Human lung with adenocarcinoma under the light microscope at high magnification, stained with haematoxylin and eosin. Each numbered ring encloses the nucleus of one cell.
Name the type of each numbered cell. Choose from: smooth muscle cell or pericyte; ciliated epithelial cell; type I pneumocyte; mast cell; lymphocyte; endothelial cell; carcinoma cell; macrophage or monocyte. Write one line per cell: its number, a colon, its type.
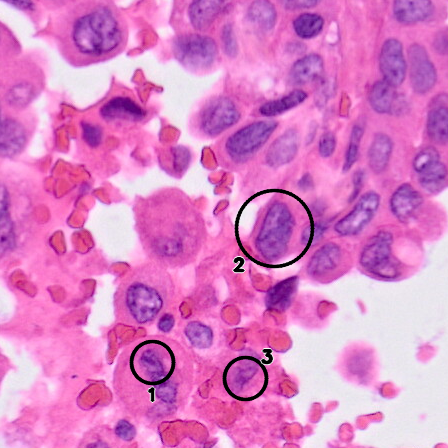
1: macrophage or monocyte
2: carcinoma cell
3: macrophage or monocyte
